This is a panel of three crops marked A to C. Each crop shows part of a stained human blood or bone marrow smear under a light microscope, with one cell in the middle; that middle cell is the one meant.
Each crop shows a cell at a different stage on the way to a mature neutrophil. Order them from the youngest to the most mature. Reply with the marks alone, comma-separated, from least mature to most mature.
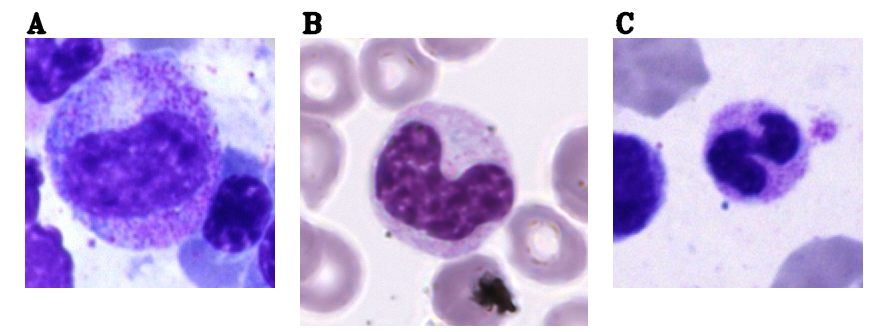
A, B, C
